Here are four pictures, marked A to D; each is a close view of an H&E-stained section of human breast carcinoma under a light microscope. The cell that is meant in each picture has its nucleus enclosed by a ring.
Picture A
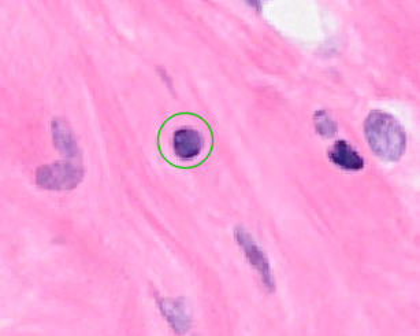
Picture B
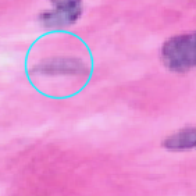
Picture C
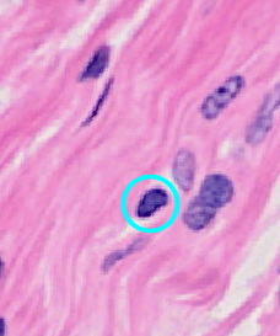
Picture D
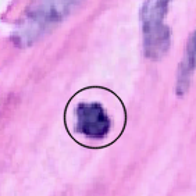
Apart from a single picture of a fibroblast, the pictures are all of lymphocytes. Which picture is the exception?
B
